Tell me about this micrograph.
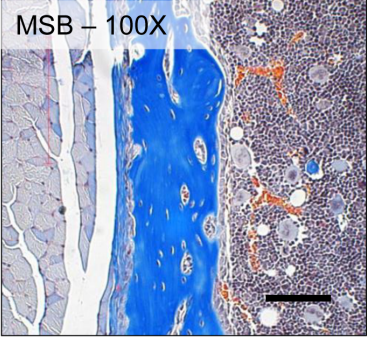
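A compact, solid band of blue-stained cortical bone runs vertically through the center, with small lacunae aligned along its length. To the left, pale skeletal muscle fibers are cut in cross section. To the right, the medullary cavity is densely packed with small, round, darkly stained marrow cells, among which lie scattered larger cells, clear round spaces and red-stained blood-filled channels. The bone is organized and uniform, without irregular spicules on its surface.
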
